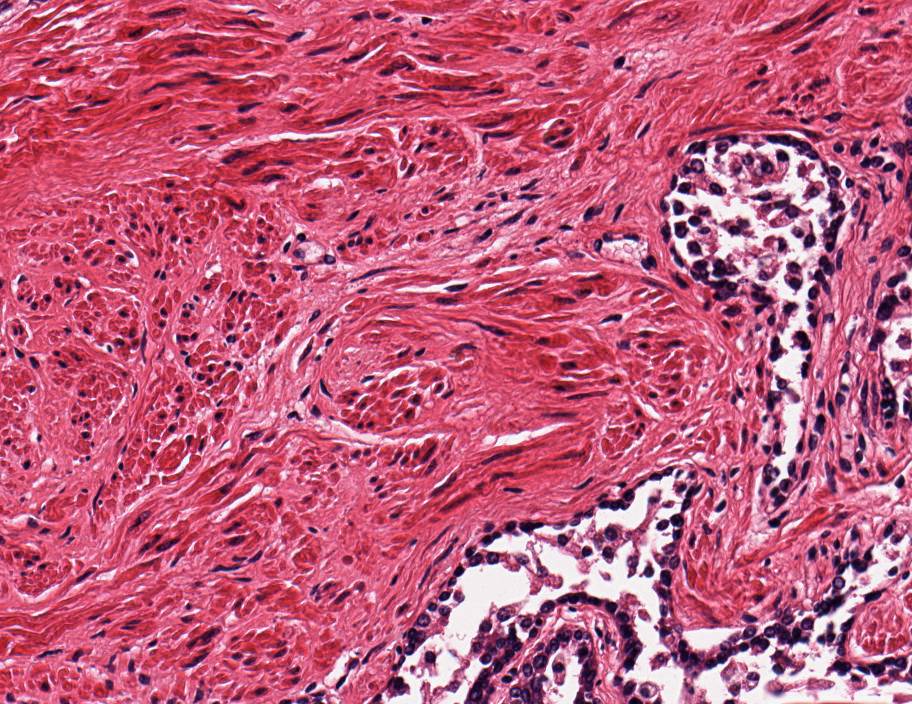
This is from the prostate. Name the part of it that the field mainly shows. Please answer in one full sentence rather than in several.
This histology image has as its subject the part called fibromuscular stroma.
